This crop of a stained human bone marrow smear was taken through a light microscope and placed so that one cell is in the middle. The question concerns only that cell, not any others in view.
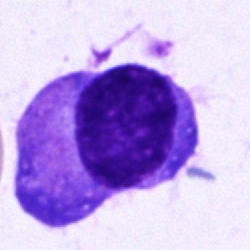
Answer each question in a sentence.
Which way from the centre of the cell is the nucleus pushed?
It is shifted toward the upper right of the cell.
